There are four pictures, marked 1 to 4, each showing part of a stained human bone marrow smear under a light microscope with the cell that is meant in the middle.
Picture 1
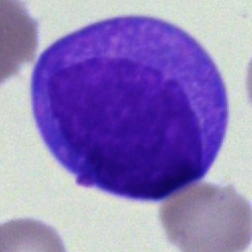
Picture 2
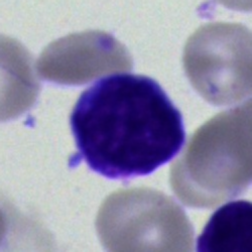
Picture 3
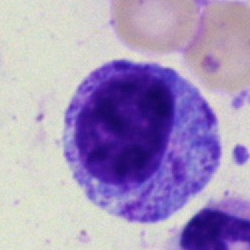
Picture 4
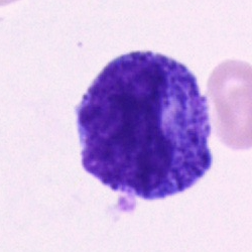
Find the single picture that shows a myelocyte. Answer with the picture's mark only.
3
